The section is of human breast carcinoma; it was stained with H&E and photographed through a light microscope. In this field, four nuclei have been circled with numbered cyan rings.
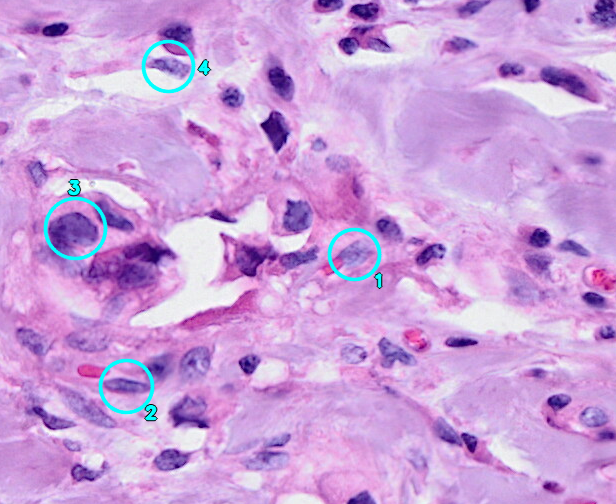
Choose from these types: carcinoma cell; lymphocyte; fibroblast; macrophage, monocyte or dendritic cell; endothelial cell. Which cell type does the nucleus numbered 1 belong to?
endothelial cell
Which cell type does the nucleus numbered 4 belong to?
fibroblast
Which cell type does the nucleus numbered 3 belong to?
carcinoma cell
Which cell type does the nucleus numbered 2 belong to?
endothelial cell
